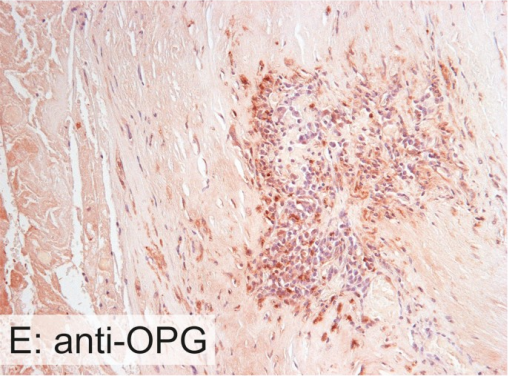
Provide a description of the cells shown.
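The clustered cells are small and round to oval, with blue nuclei and brown-stained cytoplasm. Around them lie sparse elongated spindle cells with slender nuclei among pale brown fibrous matrix. Toward the left the matrix is looser and more fragmented.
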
